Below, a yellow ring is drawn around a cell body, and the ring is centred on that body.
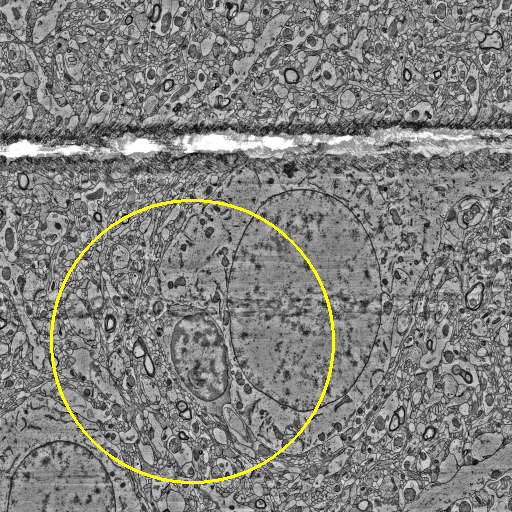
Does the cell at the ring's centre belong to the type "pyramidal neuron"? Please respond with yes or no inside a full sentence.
No, the centred cell inside the ring shown in the picture is of a different type.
